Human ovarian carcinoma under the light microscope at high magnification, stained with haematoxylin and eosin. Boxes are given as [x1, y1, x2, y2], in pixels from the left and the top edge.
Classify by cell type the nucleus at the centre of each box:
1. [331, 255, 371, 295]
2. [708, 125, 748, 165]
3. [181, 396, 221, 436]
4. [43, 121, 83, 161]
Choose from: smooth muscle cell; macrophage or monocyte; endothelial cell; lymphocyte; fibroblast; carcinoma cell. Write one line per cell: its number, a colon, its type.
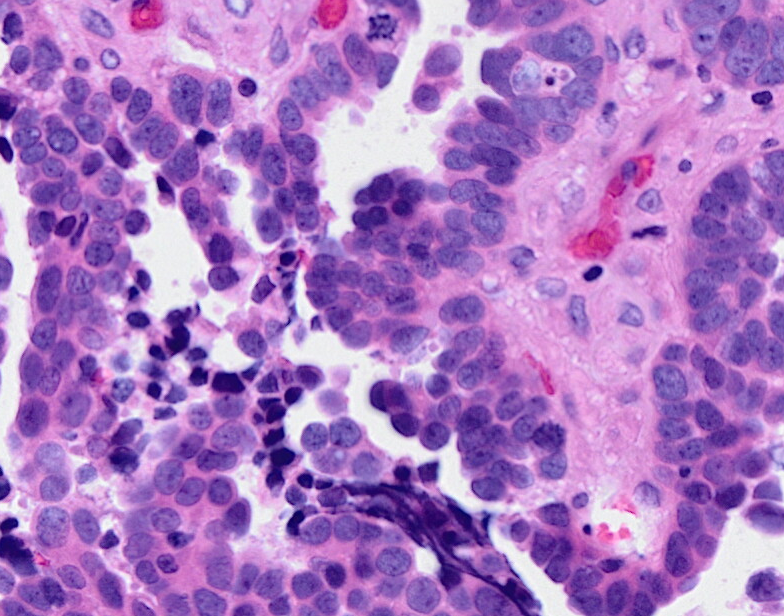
1: carcinoma cell
2: fibroblast
3: carcinoma cell
4: carcinoma cell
